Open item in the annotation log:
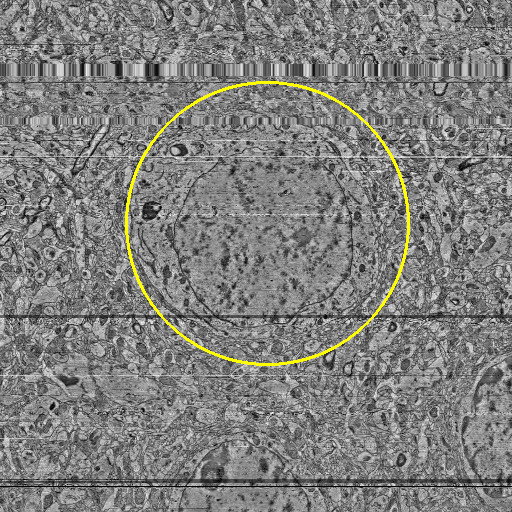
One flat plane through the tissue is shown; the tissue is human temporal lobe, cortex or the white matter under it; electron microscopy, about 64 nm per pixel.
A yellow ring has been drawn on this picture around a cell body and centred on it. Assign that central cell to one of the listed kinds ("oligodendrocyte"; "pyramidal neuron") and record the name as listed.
pyramidal neuron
